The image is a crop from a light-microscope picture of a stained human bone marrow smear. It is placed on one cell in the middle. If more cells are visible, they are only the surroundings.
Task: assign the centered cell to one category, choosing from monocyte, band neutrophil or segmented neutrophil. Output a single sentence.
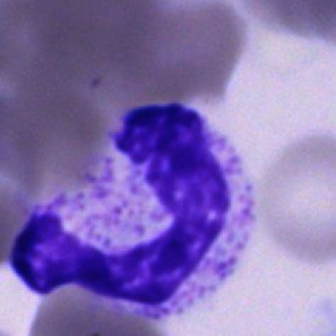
By type, the central cell of the crop is a band neutrophil.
